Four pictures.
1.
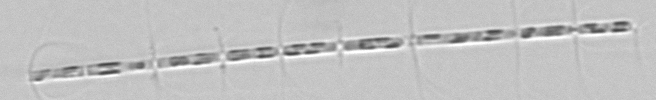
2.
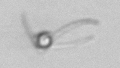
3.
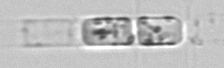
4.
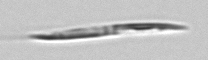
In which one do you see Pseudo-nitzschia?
In picture 4.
